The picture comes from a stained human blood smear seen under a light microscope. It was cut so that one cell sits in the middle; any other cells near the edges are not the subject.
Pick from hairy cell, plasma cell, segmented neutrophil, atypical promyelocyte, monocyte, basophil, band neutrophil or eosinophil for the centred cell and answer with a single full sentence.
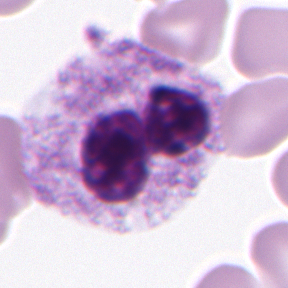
The single cell at the center of the crop is a segmented neutrophil.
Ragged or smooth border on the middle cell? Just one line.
The outer contour of the cell is irregular, with ragged portions or projections along it.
